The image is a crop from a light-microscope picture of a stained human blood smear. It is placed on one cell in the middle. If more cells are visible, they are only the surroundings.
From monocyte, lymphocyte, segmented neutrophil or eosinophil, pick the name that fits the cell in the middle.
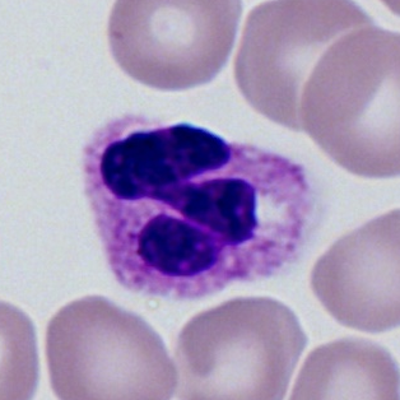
segmented neutrophil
